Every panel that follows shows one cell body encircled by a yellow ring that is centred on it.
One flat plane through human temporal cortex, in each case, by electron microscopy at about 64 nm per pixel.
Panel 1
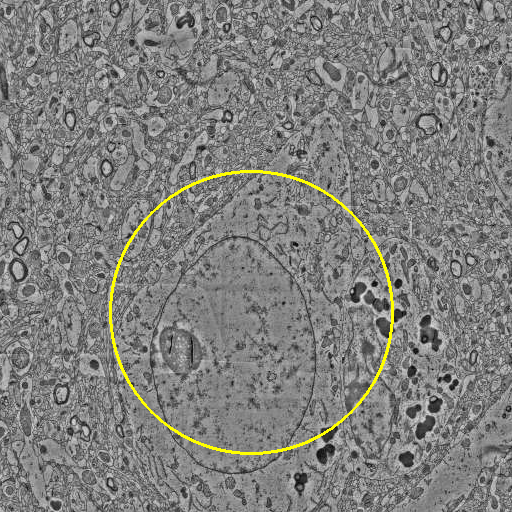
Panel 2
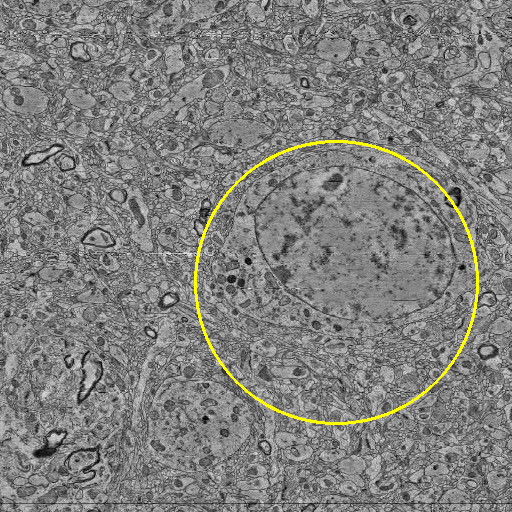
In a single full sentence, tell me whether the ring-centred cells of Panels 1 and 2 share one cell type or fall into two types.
In Panel 1 and Panel 2, the cells at the ring centres share one cell type.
